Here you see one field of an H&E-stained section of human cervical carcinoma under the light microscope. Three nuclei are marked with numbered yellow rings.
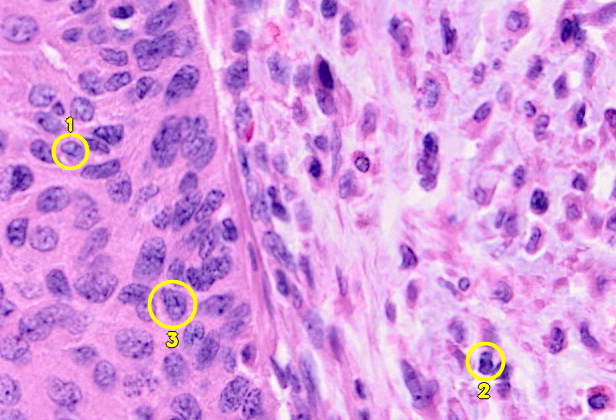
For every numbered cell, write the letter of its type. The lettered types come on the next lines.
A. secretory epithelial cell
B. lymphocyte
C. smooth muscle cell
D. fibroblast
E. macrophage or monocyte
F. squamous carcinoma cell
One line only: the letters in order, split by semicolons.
F; B; F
